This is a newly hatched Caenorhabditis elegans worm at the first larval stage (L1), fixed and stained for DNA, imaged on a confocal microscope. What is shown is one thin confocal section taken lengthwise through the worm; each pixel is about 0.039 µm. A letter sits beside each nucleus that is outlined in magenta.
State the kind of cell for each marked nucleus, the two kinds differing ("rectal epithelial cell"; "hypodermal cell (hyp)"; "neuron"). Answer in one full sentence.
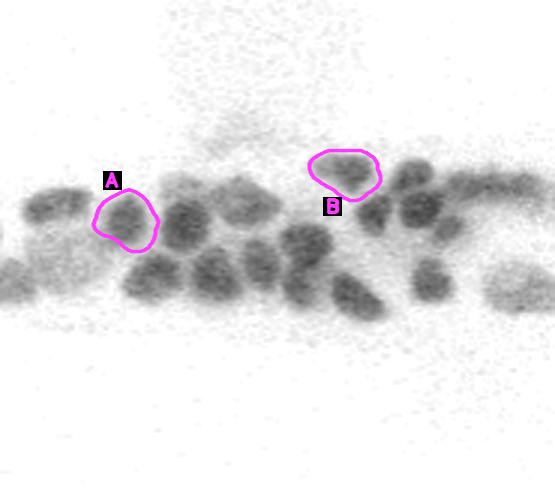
B belongs to a rectal epithelial cell, and A to a neuron.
